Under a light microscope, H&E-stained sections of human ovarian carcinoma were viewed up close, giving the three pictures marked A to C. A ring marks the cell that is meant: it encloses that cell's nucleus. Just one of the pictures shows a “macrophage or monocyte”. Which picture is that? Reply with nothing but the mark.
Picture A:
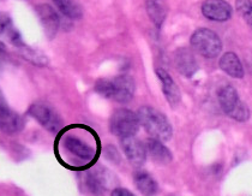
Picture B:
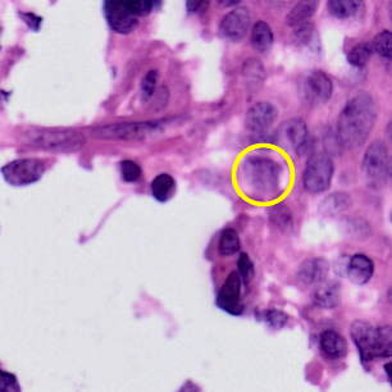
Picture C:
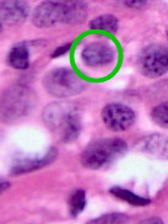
C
